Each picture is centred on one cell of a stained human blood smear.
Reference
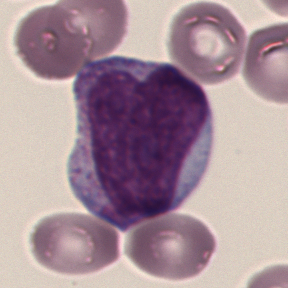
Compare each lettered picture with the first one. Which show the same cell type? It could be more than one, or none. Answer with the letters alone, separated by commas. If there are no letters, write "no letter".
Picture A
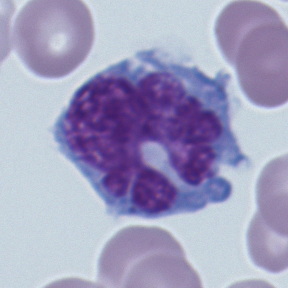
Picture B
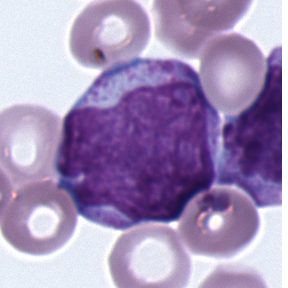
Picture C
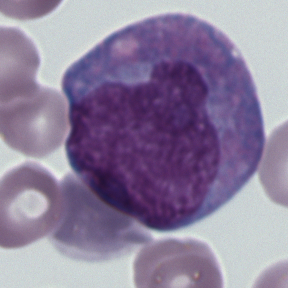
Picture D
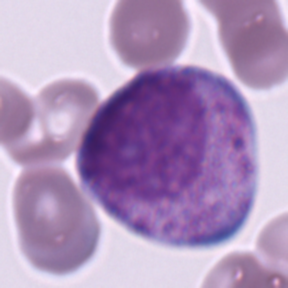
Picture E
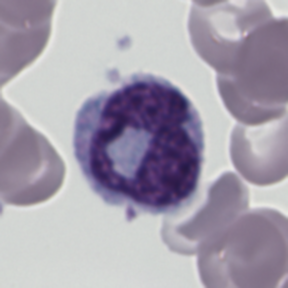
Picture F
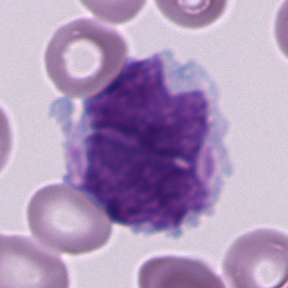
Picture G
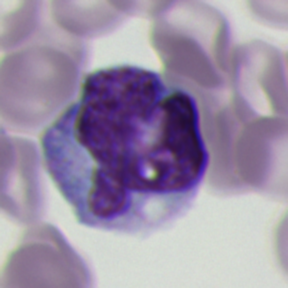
B, C, D, F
